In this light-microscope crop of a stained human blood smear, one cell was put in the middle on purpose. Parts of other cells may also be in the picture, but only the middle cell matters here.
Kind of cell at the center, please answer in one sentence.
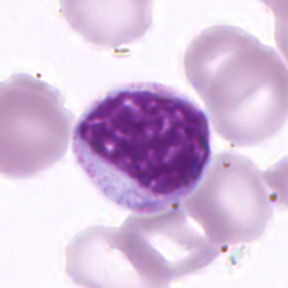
The cell of interest, in the center, is a metamyelocyte.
